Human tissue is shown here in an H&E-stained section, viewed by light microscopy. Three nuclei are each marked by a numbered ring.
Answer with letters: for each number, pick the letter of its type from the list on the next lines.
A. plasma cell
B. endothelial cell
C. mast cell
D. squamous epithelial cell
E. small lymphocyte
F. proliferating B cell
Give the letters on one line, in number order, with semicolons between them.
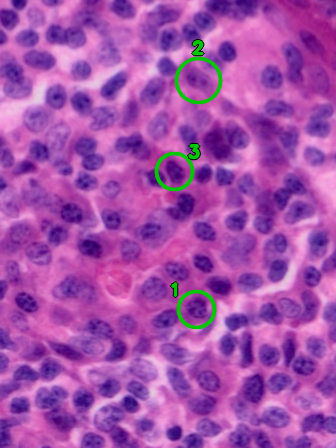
A; D; A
